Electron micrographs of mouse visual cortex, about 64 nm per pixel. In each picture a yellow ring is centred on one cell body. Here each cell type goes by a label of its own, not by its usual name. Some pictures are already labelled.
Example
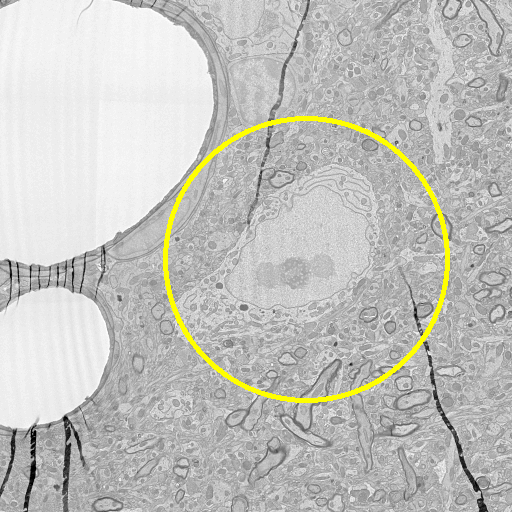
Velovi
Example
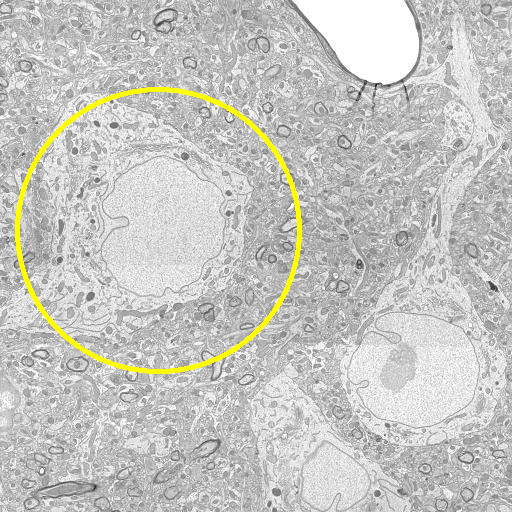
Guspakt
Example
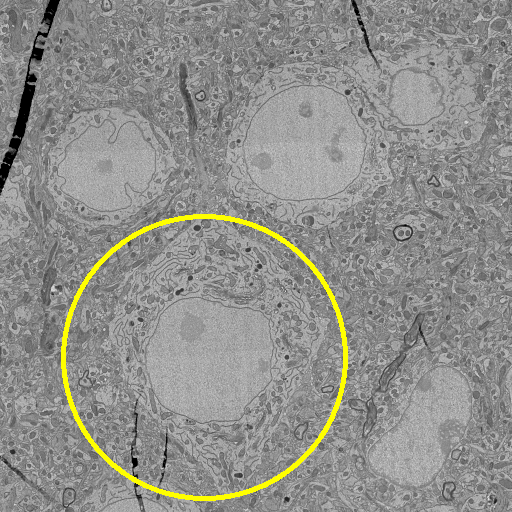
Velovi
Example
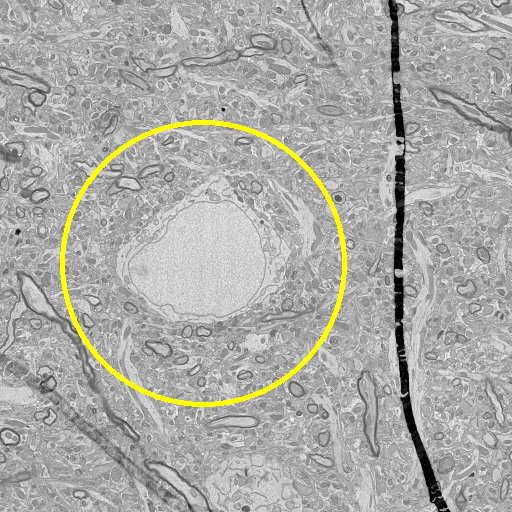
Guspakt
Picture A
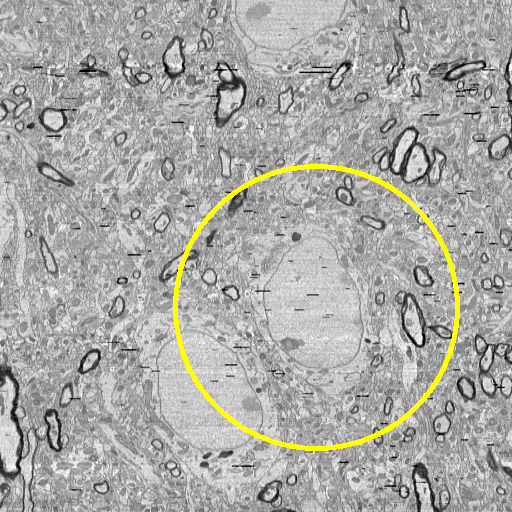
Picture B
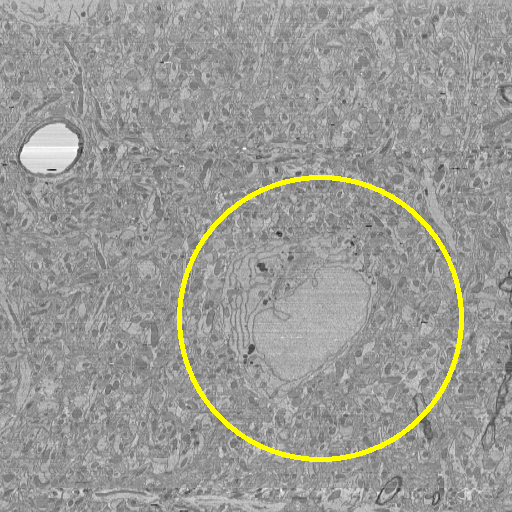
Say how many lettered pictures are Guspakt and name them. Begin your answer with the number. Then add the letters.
Count: 1 (A)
